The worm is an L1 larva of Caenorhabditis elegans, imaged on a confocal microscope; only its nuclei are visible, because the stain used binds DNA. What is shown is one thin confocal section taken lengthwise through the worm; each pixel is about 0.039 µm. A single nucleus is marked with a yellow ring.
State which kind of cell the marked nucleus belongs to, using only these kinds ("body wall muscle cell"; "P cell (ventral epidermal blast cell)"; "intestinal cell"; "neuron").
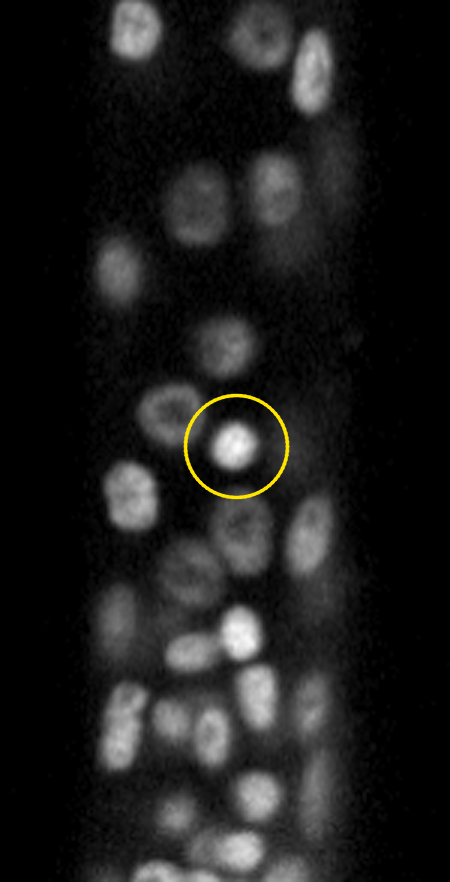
neuron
